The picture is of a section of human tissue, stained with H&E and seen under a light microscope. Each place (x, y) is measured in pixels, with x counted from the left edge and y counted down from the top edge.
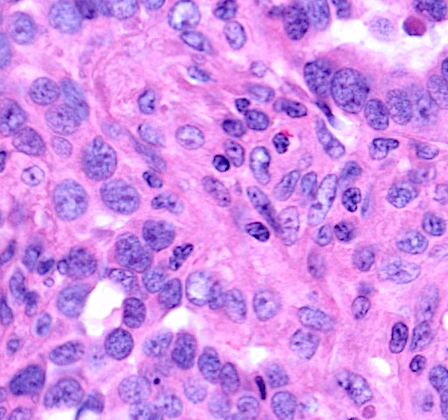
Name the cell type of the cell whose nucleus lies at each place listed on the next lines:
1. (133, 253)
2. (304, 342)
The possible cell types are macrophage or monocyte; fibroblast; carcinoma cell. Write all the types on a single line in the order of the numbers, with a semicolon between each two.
carcinoma cell; fibroblast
